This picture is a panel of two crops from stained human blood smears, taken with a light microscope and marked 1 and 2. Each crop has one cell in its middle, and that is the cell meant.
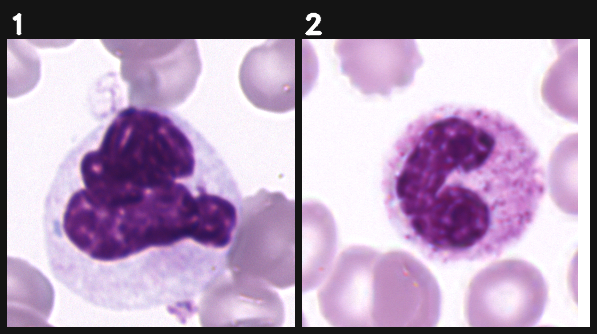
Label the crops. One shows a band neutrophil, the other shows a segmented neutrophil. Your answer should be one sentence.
For crop 1 the cell is a segmented neutrophil, and for crop 2 it is a band neutrophil.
